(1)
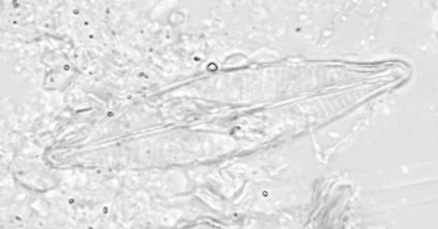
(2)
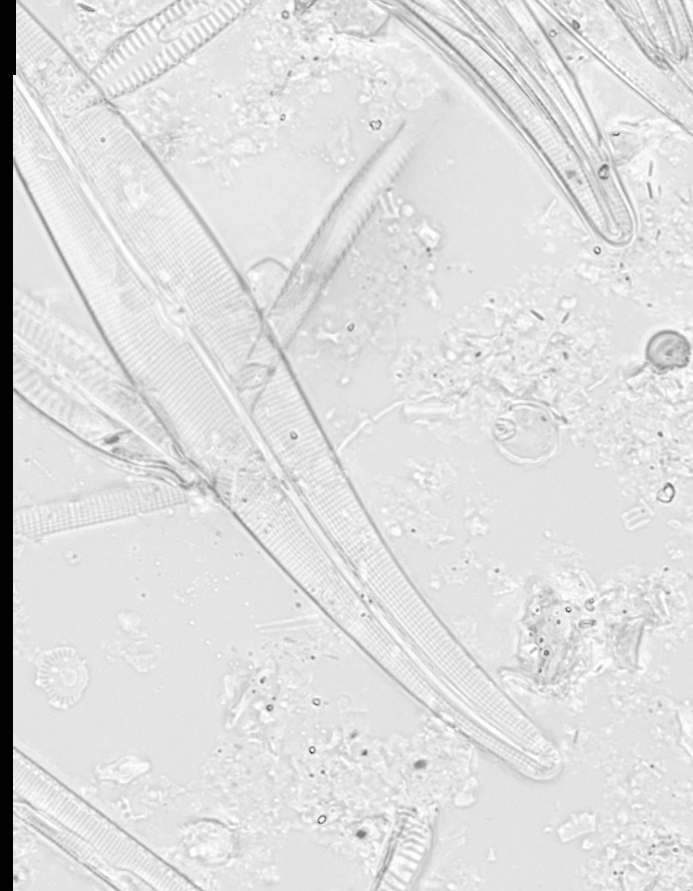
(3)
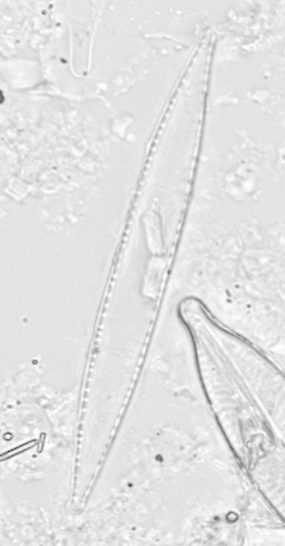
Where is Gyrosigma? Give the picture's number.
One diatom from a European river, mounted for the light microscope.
2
